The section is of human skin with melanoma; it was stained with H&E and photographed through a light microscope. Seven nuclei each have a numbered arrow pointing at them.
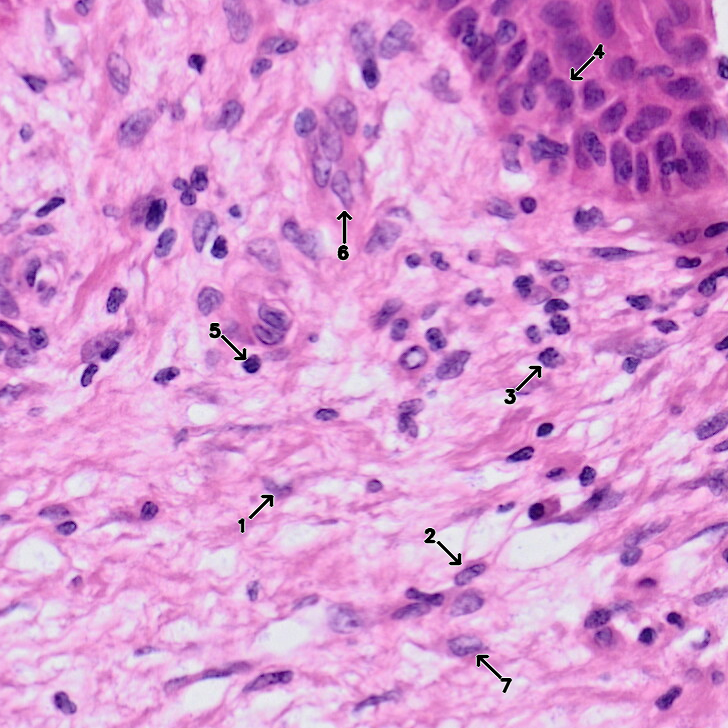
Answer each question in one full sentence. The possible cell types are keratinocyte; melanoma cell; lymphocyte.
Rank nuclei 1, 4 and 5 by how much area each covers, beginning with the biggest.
Going from the biggest nucleus down to the smallest gives 4, 1, 5.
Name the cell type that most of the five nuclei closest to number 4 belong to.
Around number 4, most of the five nearest nuclei are those of keratinocytes.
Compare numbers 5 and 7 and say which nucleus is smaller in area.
Number 5 is smaller, since number 7 takes up about 2 times as much area.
